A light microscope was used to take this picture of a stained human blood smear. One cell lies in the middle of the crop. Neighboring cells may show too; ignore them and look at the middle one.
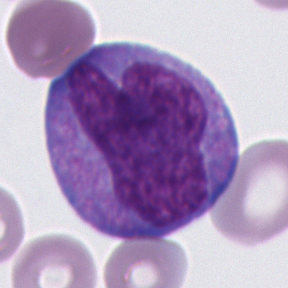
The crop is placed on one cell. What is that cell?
atypical promyelocyte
